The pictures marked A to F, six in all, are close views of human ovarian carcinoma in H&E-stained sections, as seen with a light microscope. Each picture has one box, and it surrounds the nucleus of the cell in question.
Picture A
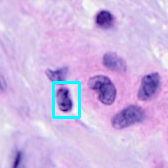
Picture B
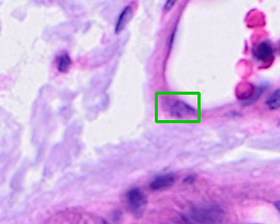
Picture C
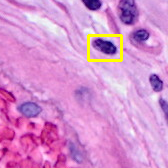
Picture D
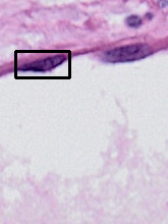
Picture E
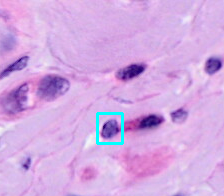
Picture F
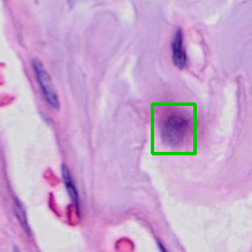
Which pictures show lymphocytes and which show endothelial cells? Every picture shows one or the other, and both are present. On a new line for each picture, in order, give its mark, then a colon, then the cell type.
A: lymphocyte
B: endothelial cell
C: lymphocyte
D: endothelial cell
E: lymphocyte
F: endothelial cell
